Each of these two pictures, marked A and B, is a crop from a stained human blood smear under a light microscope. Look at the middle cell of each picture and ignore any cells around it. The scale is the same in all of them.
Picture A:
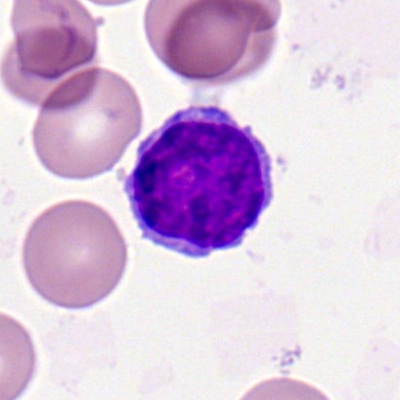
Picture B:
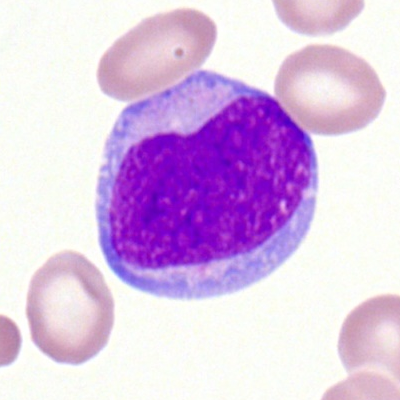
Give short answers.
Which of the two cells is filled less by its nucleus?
B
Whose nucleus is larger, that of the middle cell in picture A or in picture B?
B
